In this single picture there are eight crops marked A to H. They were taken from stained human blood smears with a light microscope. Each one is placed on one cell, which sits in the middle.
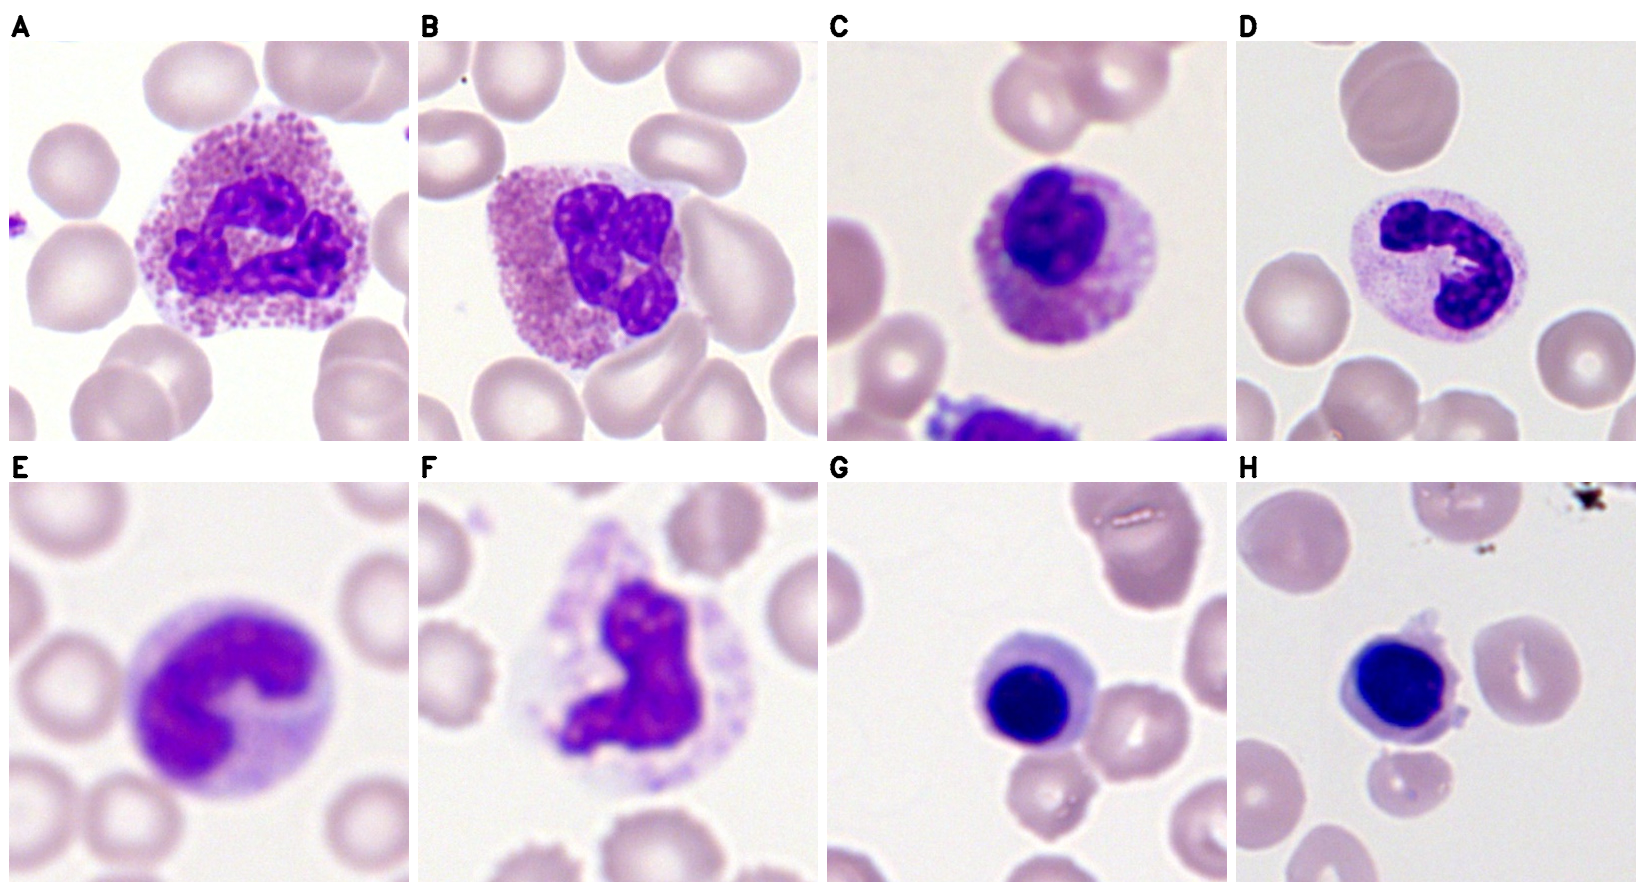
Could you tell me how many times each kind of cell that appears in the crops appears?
eosinophil: 3
band neutrophil: 3
normoblast: 2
